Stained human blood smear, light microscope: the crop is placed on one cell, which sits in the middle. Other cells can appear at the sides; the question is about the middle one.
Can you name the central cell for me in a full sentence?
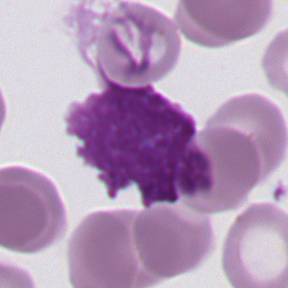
The cell occupying the middle of the crop is a smudge cell.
